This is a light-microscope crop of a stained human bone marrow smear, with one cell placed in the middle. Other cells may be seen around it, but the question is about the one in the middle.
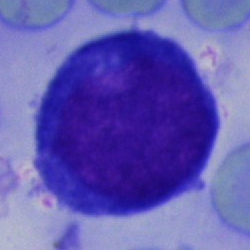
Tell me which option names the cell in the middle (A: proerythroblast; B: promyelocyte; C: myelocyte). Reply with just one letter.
A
